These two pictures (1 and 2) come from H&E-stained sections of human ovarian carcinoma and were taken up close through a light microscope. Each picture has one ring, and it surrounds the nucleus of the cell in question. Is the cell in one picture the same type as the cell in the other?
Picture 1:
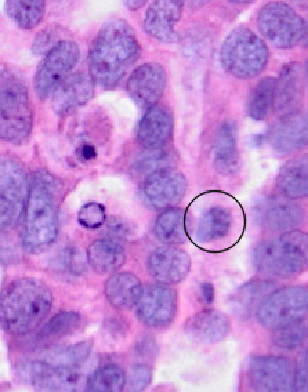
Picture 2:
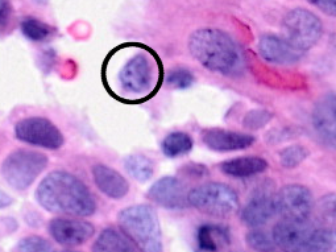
yes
